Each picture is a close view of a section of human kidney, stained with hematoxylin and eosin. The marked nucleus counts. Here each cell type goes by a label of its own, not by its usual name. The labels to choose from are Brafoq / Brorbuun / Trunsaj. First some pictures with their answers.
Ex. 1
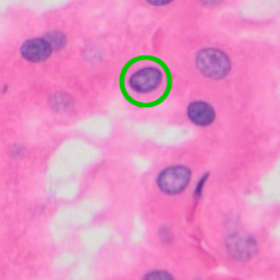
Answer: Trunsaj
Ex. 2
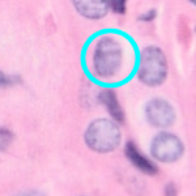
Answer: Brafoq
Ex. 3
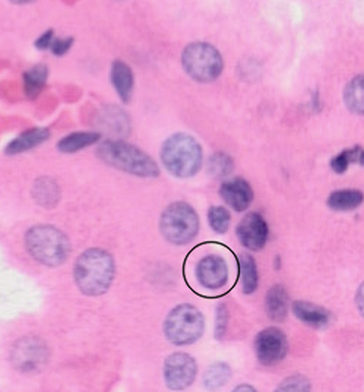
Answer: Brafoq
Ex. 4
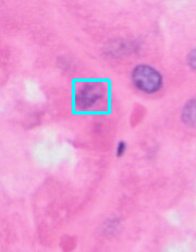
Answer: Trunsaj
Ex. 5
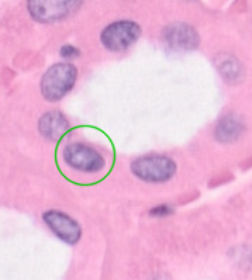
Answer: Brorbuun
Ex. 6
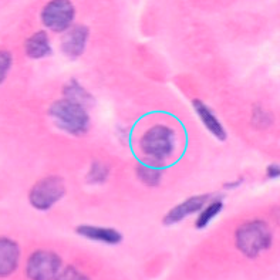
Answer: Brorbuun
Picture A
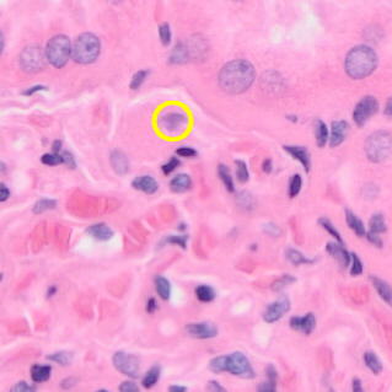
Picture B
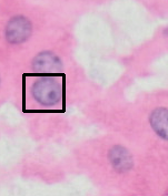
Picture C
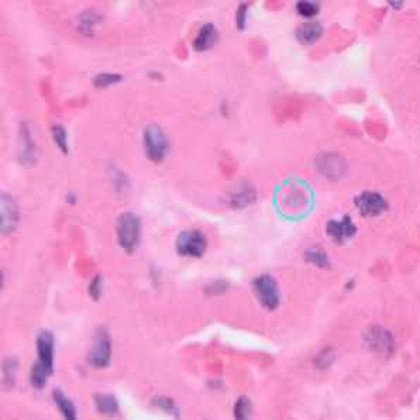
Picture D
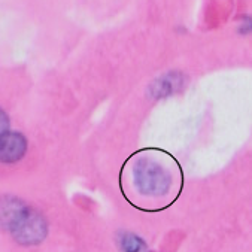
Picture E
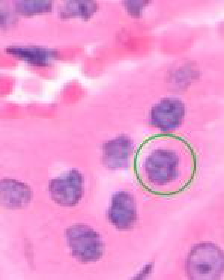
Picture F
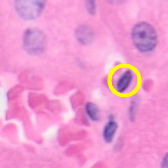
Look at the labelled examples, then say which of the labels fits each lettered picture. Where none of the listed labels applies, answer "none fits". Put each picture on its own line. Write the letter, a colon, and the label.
A: none fits
B: Trunsaj
C: Brorbuun
D: Brorbuun
E: Brorbuun
F: none fits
